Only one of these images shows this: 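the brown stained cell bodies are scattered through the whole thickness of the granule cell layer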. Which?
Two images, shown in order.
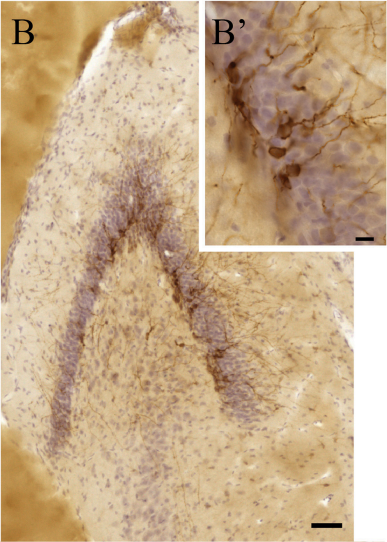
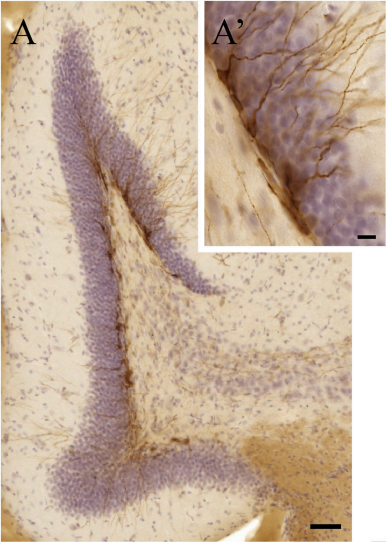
the first image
